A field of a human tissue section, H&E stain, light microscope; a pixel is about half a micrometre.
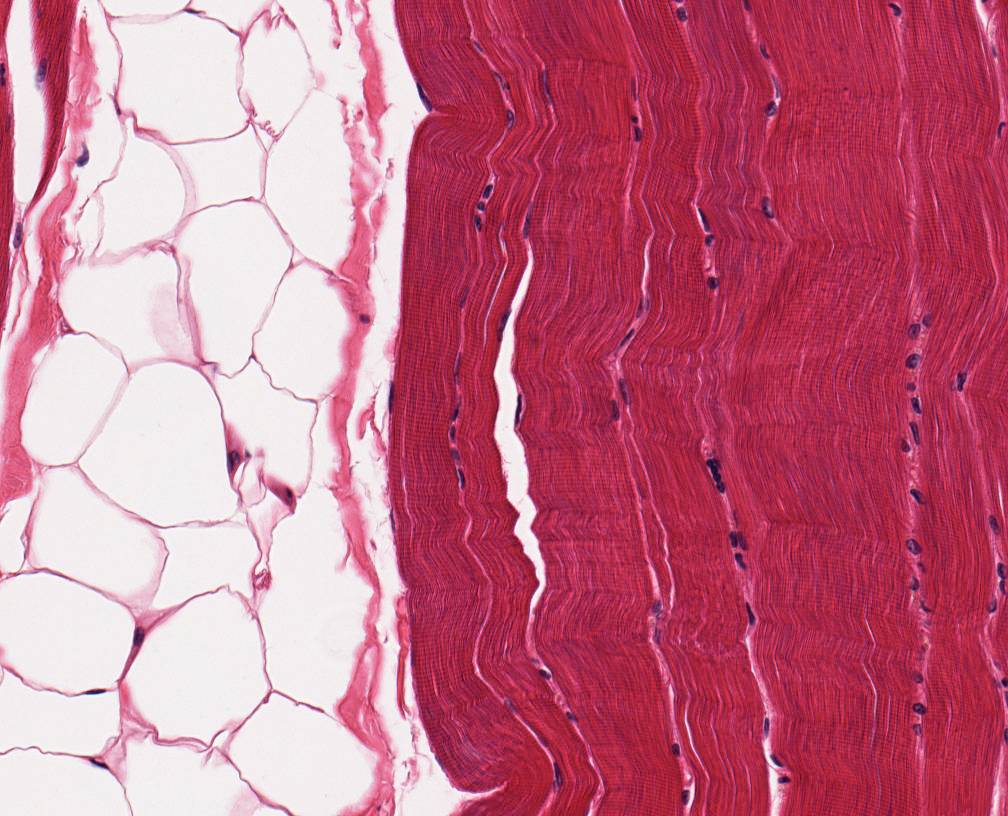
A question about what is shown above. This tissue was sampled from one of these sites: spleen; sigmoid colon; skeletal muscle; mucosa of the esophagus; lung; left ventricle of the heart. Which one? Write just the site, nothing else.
skeletal muscle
